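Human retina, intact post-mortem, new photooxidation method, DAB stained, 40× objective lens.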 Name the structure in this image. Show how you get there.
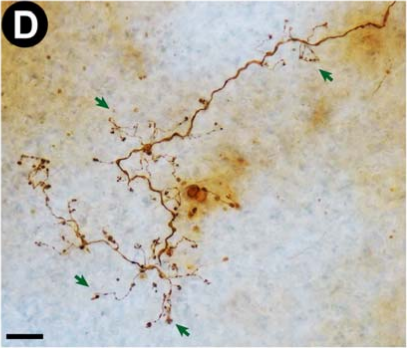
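Axon terminal. A single long thin fibre runs across the panel and ramifies into many fine branches. The branches bear small round dark swellings. No large stained cell body with radiating dendrites is part of the arbor.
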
